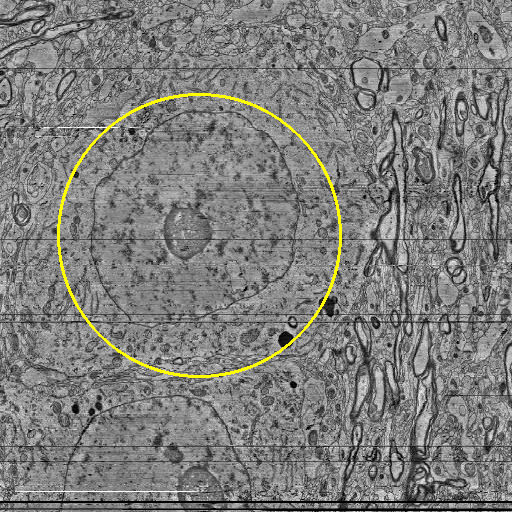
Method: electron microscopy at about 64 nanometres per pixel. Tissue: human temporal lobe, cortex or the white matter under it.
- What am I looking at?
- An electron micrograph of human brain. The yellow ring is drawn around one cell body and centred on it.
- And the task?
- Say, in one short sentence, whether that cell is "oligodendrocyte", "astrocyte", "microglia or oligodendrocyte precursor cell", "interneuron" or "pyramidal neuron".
The cell in the middle of the ring is a pyramidal neuron.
